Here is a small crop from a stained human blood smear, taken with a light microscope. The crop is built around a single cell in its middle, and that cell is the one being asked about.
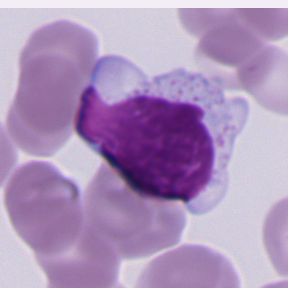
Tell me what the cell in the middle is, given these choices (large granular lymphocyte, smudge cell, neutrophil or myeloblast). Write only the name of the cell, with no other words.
large granular lymphocyte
